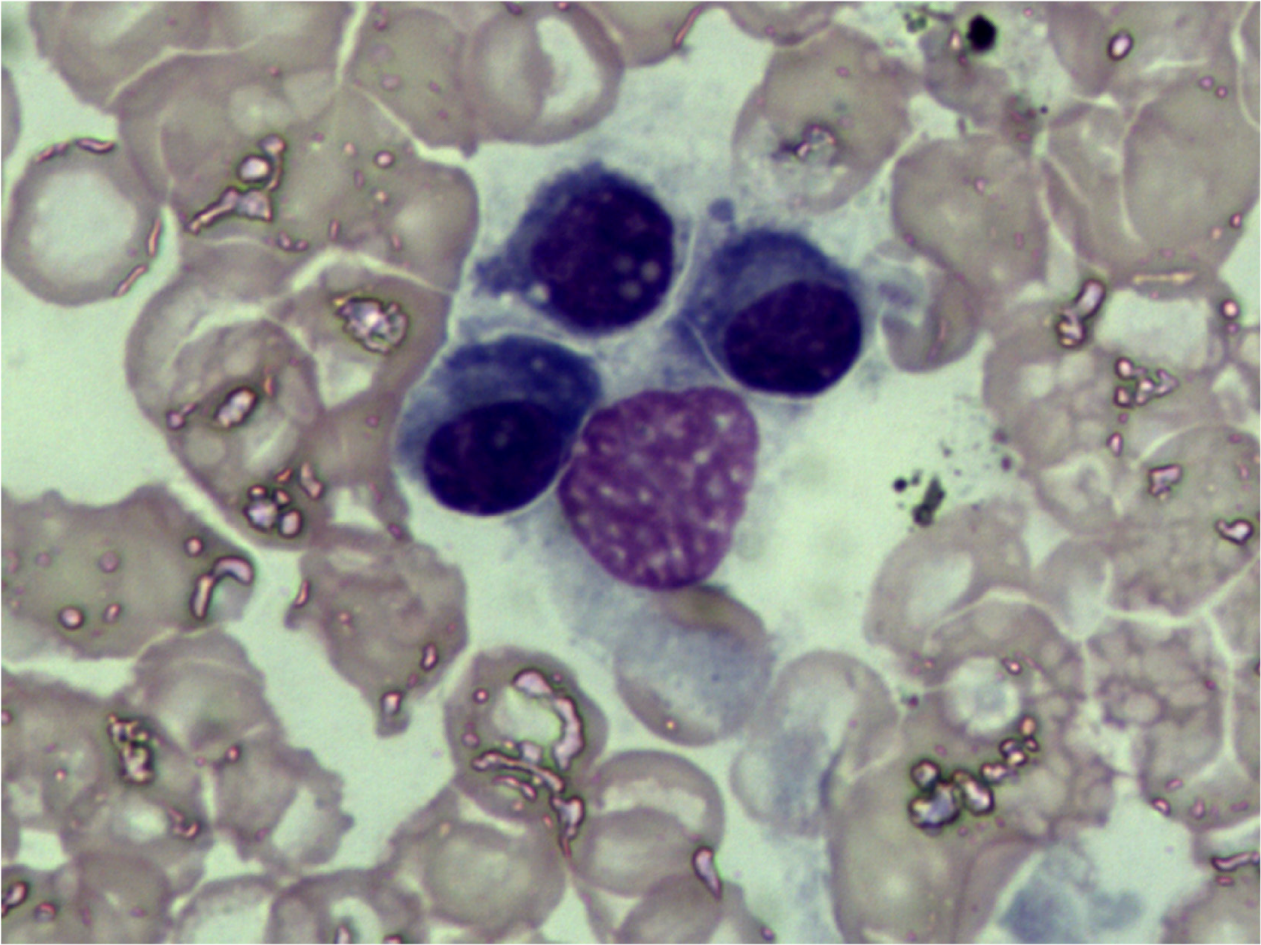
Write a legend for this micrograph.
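A small cluster of four nucleated cells lies among crowded pale red blood cells in a bone marrow smear. Three of the cells have round, dark purple nuclei with clumped chromatin, set toward one side of a generous, deep blue cytoplasm, as is typical of plasma cells. The surrounding red cells are packed together and show scattered refractile artefact.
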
